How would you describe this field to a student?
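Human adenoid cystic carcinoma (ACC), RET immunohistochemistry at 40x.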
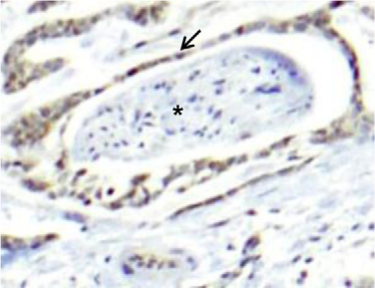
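A small nerve is seen in cross-section as an oval bundle of pale wavy fibres with sparse elongated nuclei. Around it, hugging its sheath, runs a thin cuff of tumour cells with small dark nuclei and brown-stained cytoplasm. The tumour cells form a ring one to a few cells thick that follows the outline of the nerve closely. Further tumour strands with the same brown staining lie in the pale stroma around, which is otherwise largely unstained.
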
